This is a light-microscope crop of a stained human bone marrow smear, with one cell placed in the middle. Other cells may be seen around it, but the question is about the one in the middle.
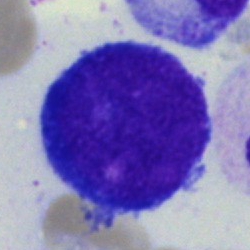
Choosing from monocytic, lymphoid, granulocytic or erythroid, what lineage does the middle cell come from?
erythroid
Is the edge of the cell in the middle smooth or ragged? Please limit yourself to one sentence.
Along its border, the cell is uneven, whether by ragged stretches or by projections.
